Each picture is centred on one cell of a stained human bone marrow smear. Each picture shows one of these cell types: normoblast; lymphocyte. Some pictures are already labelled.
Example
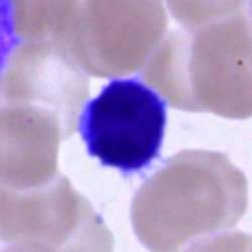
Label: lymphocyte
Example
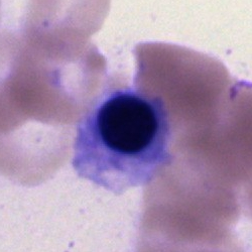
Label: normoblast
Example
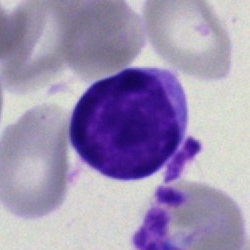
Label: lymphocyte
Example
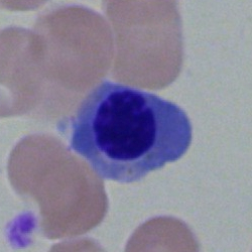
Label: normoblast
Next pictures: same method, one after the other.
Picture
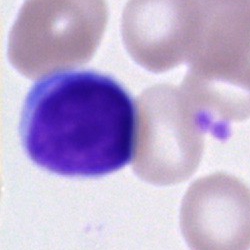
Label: lymphocyte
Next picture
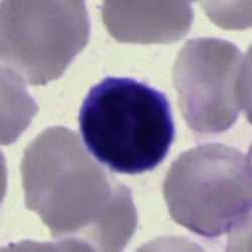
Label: lymphocyte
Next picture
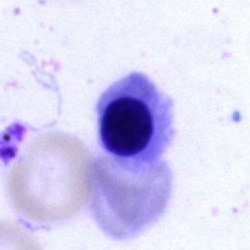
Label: normoblast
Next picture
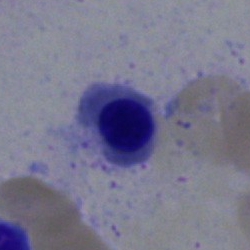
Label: normoblast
